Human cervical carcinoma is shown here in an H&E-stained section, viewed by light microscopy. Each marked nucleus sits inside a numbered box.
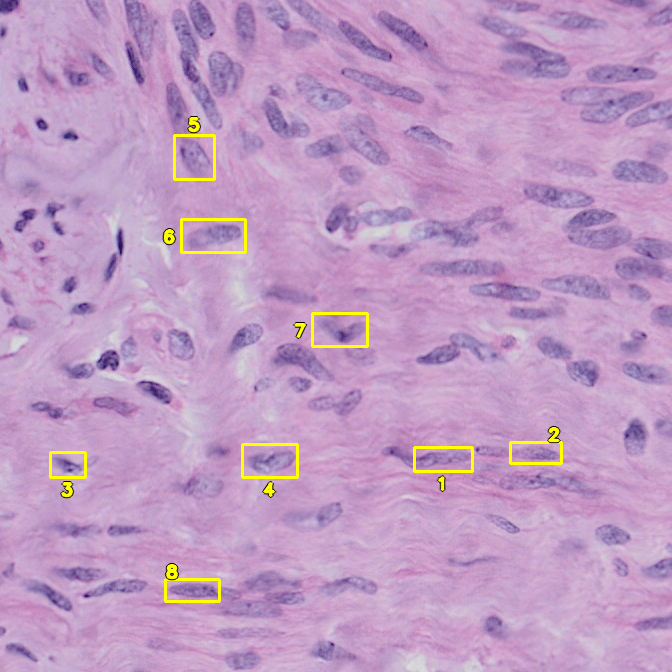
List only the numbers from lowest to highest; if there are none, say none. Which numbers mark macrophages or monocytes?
none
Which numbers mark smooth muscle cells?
1, 2, 4, 5, 8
